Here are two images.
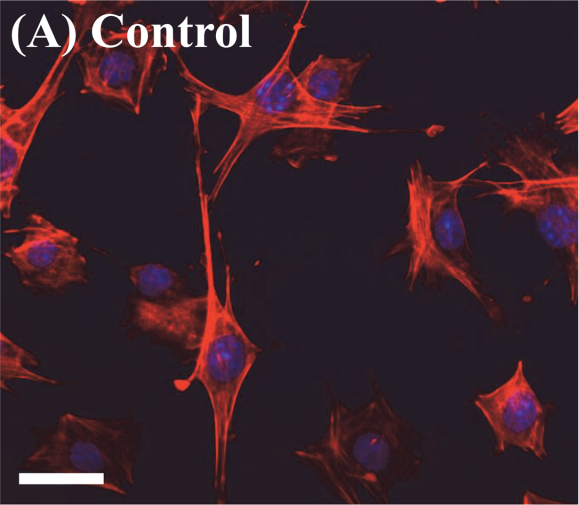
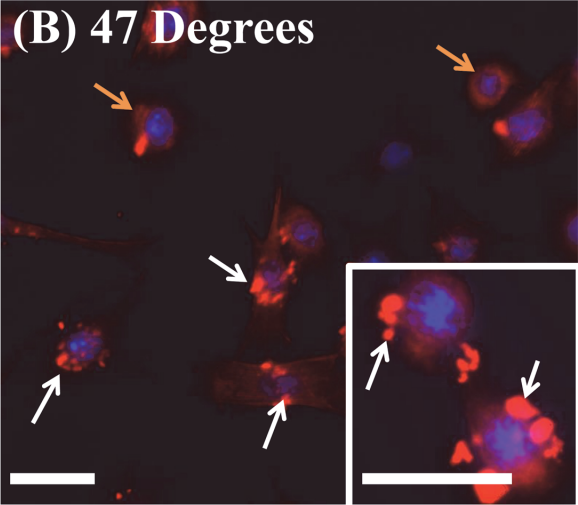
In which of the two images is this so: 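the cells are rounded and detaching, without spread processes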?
The second image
